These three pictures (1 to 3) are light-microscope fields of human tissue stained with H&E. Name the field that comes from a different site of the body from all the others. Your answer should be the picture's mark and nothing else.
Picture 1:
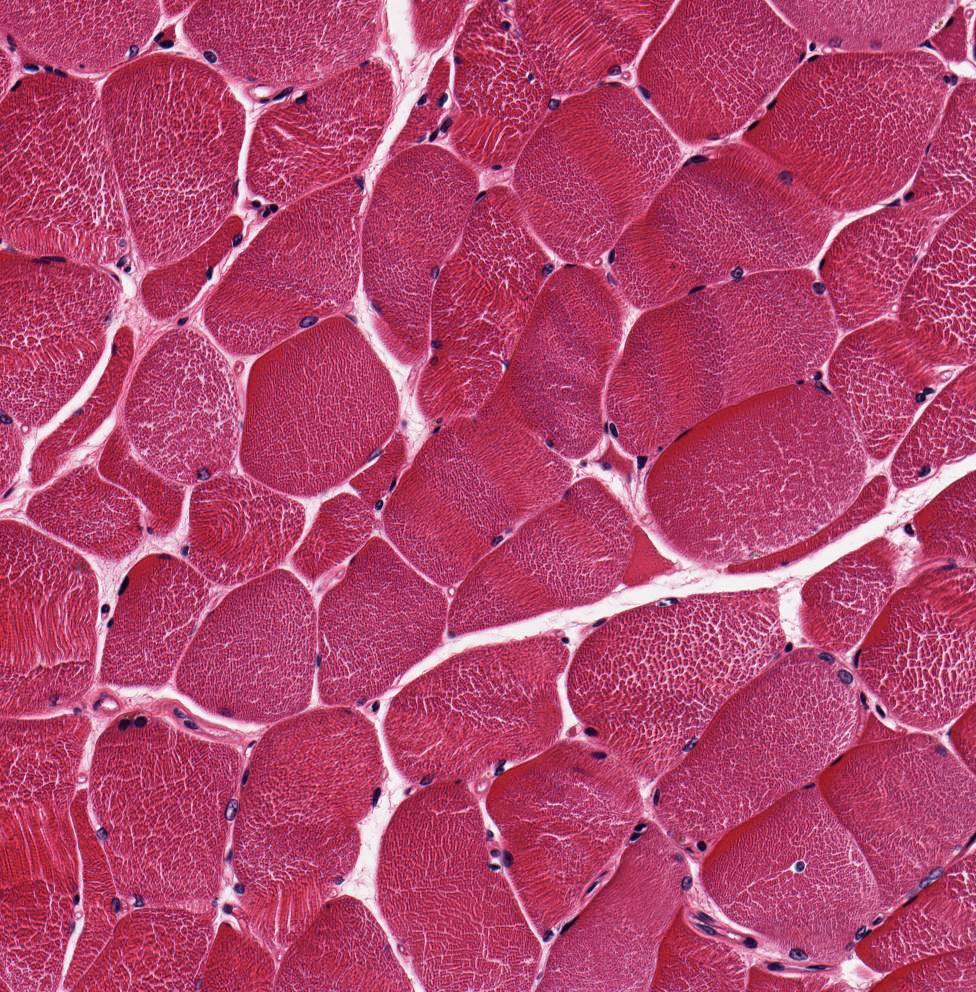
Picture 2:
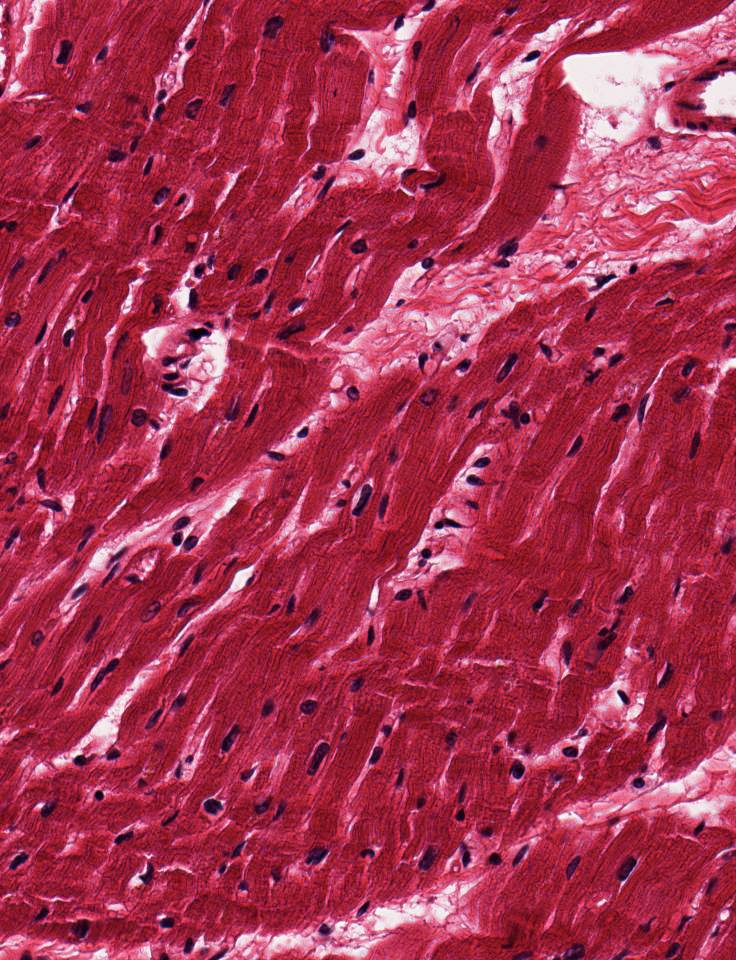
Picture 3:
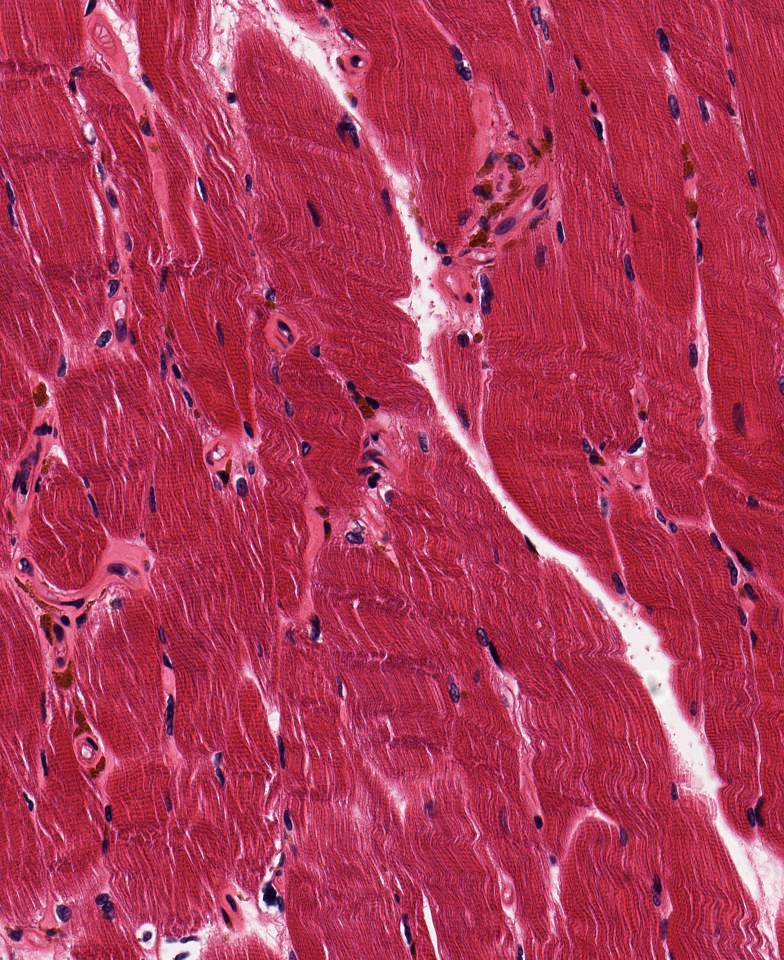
2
